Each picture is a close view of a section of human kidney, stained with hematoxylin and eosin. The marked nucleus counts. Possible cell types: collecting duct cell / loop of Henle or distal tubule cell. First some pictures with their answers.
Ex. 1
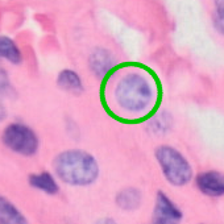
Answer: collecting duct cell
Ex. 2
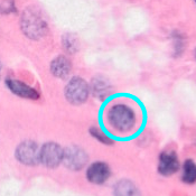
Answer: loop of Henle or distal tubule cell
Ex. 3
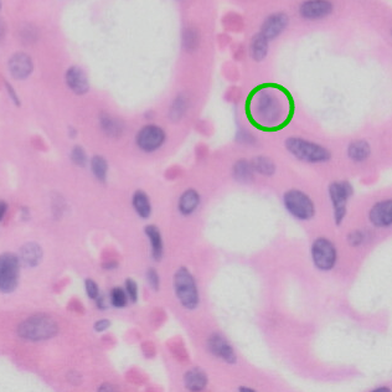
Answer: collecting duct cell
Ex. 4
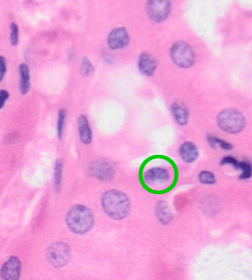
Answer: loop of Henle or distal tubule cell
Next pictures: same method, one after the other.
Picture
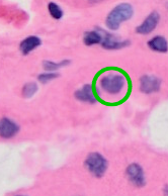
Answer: loop of Henle or distal tubule cell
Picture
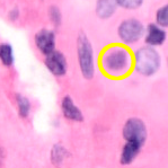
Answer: collecting duct cell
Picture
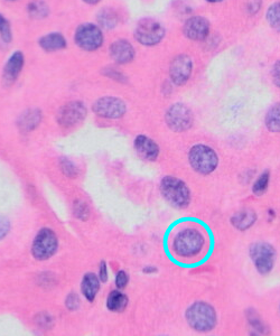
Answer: loop of Henle or distal tubule cell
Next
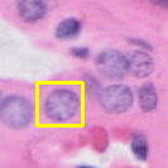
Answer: collecting duct cell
